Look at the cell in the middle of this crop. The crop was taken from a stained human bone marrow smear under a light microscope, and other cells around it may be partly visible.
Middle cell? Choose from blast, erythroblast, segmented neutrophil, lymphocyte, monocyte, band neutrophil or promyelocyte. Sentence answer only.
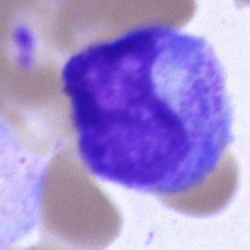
The cell centred in this crop is categorized as a promyelocyte.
